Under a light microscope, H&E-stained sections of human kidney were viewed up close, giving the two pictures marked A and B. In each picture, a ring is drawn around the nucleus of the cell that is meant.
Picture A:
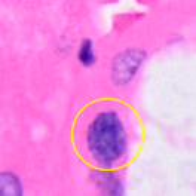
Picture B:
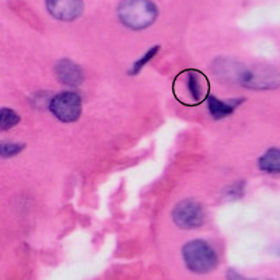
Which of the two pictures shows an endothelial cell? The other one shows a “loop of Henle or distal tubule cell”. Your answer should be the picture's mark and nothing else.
B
